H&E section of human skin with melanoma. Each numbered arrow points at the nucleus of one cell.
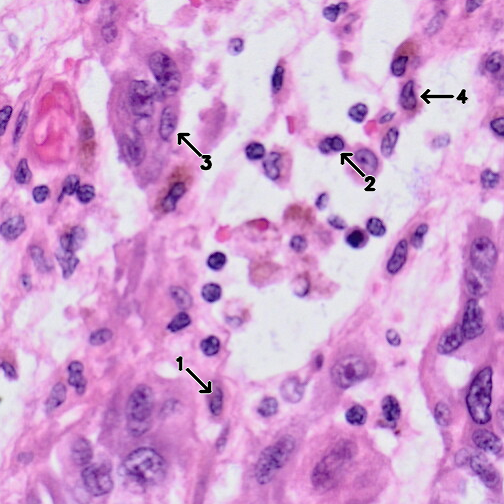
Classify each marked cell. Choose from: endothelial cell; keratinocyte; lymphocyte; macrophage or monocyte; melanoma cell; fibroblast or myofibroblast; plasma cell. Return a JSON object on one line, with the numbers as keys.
{"1": "macrophage or monocyte", "2": "macrophage or monocyte", "3": "melanoma cell", "4": "macrophage or monocyte"}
